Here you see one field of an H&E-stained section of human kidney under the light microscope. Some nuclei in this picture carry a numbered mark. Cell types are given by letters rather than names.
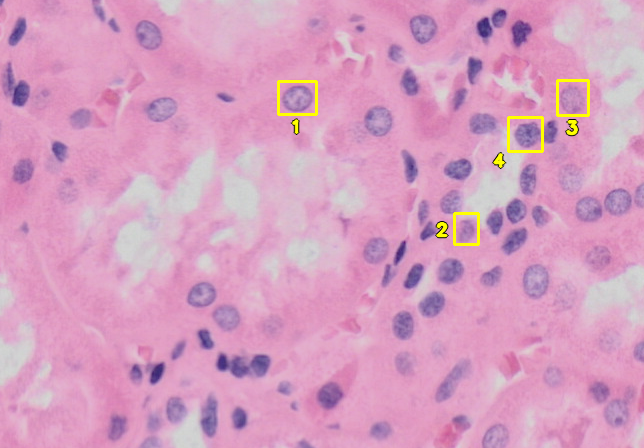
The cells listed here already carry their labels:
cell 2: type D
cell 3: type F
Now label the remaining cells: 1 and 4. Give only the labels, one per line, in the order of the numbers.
type F
type D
